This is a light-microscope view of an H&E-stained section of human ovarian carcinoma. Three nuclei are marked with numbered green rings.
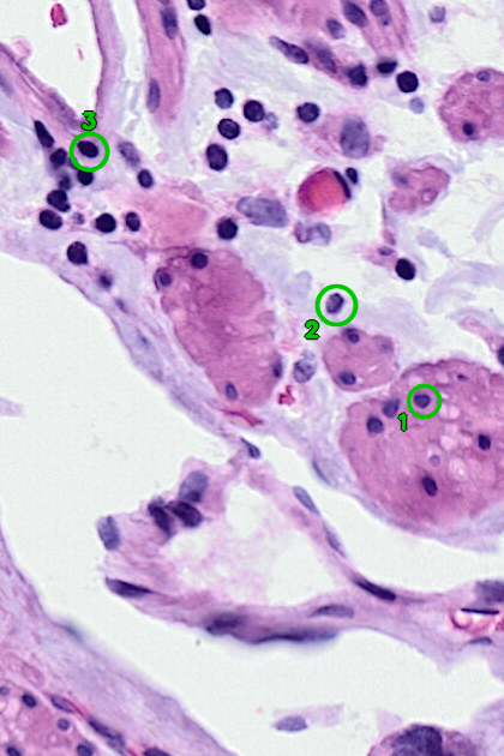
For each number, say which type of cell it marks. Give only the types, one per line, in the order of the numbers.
smooth muscle cell
lymphocyte
lymphocyte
